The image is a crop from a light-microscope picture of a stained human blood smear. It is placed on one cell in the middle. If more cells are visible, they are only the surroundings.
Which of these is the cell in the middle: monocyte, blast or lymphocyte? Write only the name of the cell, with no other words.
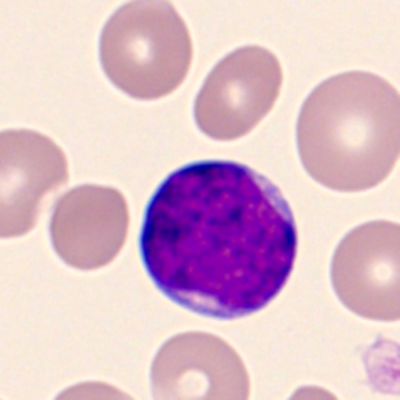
blast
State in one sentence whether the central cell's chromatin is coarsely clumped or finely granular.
Chromatin in the nucleus here is coarsely clumped.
